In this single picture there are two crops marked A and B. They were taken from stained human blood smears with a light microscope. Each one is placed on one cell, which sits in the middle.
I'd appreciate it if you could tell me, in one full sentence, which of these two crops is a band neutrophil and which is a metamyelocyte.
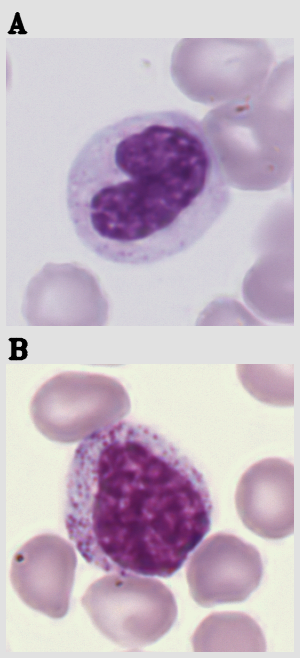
Crop A has been identified as a band neutrophil, and crop B has been identified as a metamyelocyte.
